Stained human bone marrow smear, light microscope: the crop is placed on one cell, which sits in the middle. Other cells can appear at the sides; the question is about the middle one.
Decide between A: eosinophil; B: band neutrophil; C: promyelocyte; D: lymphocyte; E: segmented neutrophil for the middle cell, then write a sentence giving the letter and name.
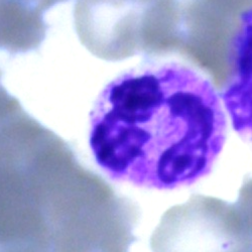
The cell centred in the crop is a segmented neutrophil, and the correct option is thus E.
